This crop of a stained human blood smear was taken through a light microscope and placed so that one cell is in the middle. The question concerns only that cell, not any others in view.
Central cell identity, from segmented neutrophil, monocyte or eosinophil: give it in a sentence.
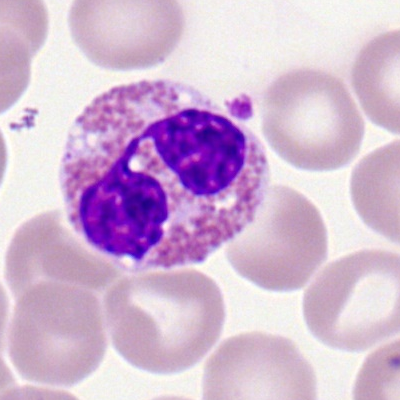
The cell positioned in the middle of the field is an eosinophil.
